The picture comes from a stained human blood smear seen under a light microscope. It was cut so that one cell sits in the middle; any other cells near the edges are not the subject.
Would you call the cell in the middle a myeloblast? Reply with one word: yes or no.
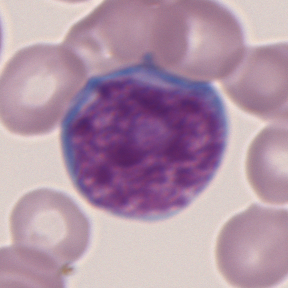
yes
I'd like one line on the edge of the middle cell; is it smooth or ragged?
Irregular and not smooth, the cell boundary is ragged or drawn out into projections.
